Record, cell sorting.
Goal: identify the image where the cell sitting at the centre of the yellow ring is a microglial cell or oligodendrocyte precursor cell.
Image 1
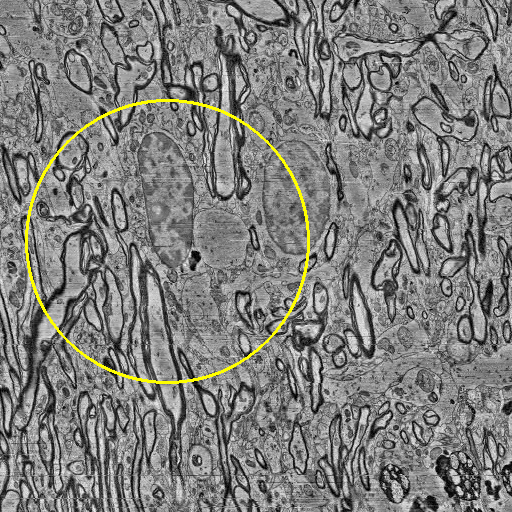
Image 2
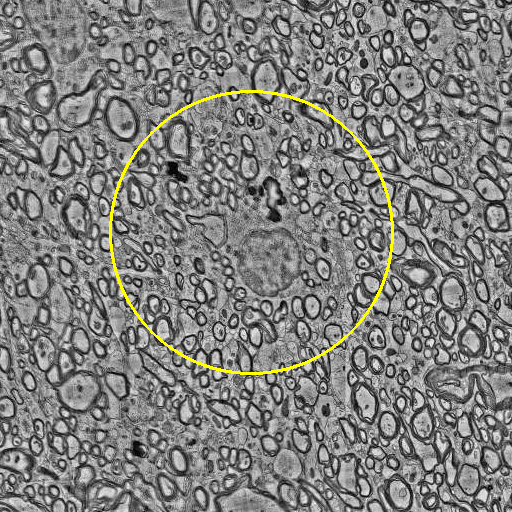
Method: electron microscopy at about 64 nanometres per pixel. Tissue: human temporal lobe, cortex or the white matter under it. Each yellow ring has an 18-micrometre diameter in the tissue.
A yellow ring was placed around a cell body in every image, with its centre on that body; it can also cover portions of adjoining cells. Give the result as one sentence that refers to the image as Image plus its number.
Image 1 shows the requested cell sitting right at the centre of its ring.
